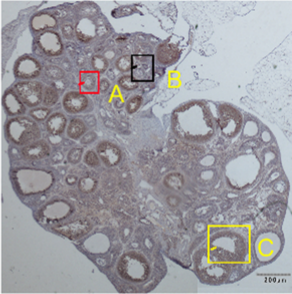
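This low-power ovarian section contains numerous follicles of different sizes set in a paler stroma. The larger antral follicles have clear, fluid-filled cavities lined by a thick brownish layer of granulosa cells. Some cavities are rounded and others are irregular. Loose connective tissue appears at the upper right margin of the section.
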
